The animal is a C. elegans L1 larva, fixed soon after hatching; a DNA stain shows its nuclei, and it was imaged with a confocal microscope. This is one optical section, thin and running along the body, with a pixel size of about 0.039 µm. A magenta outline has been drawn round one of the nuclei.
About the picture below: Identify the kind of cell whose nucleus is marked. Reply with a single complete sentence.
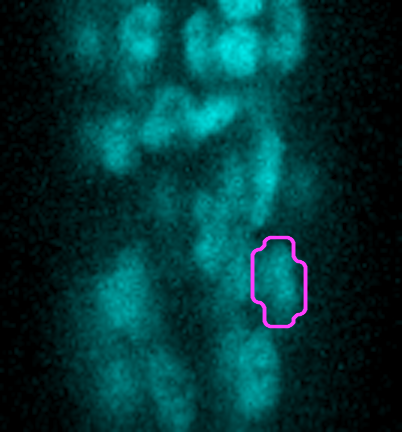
The marked nucleus is that of a body wall muscle cell.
